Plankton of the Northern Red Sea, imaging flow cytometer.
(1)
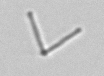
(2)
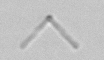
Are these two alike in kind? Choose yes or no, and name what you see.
Yes. Nanoneis.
